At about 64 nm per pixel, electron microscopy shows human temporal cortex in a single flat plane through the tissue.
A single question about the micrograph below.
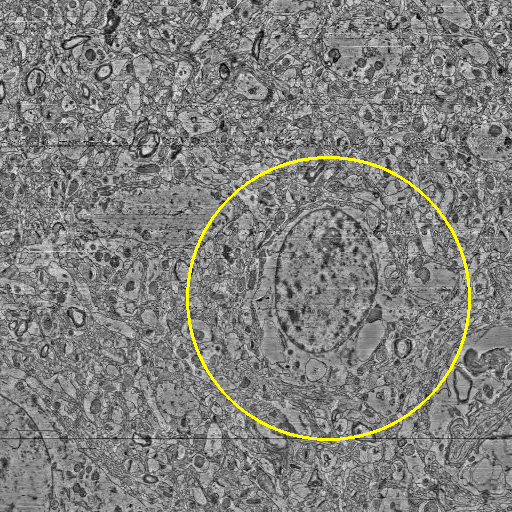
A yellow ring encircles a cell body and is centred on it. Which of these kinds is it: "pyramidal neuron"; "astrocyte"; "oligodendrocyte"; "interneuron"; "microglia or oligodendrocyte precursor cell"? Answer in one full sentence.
The cell body at the centre of the yellow ring belongs to an astrocyte.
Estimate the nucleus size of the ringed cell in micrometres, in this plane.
The ringed cell's nucleus is about 10 micrometres long and 7 micrometres wide in this plane.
